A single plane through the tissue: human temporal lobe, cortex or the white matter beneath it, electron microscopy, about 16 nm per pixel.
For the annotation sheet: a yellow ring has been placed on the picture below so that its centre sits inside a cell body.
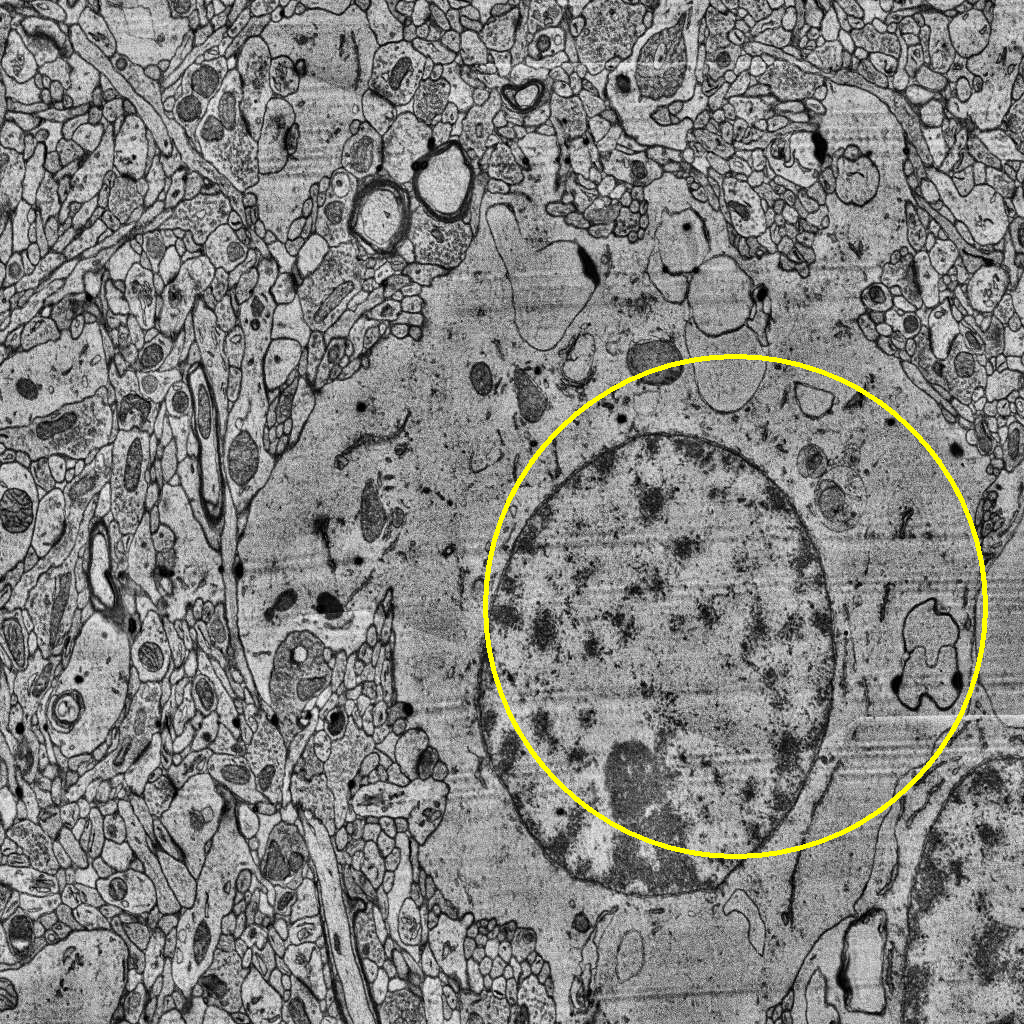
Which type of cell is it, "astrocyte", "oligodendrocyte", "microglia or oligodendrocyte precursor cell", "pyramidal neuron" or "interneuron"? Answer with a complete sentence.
The cell at the ring's centre is an astrocyte.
